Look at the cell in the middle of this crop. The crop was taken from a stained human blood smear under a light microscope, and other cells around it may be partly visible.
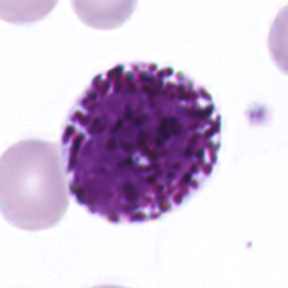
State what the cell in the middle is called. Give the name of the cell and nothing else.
basophil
